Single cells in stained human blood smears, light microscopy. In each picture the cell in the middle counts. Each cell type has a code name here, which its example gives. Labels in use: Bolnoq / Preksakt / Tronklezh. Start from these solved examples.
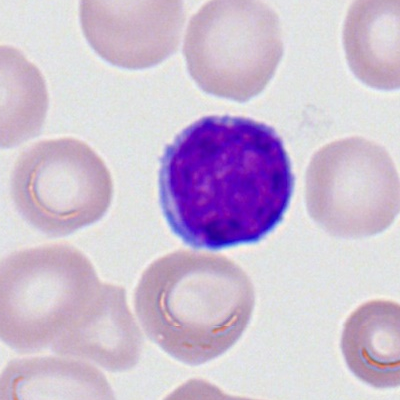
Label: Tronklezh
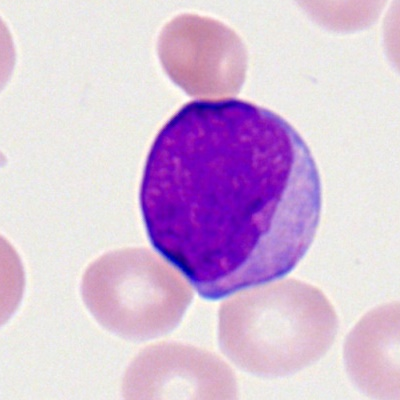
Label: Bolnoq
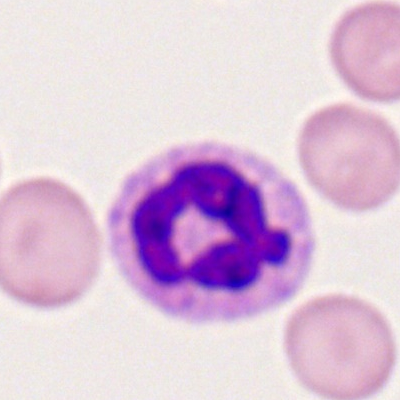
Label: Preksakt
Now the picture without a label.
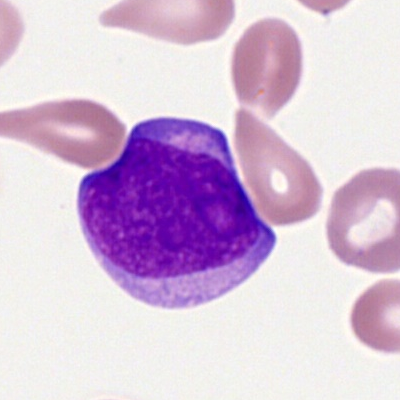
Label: Bolnoq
